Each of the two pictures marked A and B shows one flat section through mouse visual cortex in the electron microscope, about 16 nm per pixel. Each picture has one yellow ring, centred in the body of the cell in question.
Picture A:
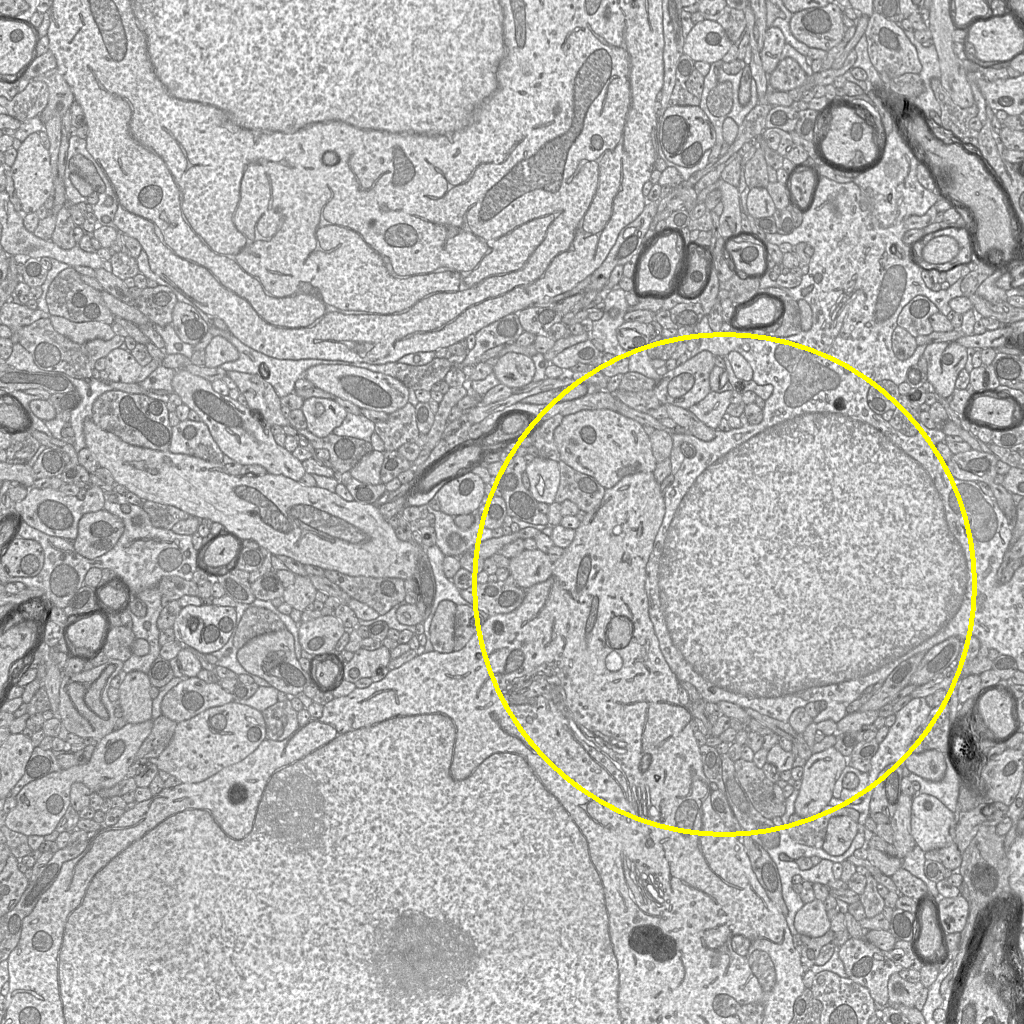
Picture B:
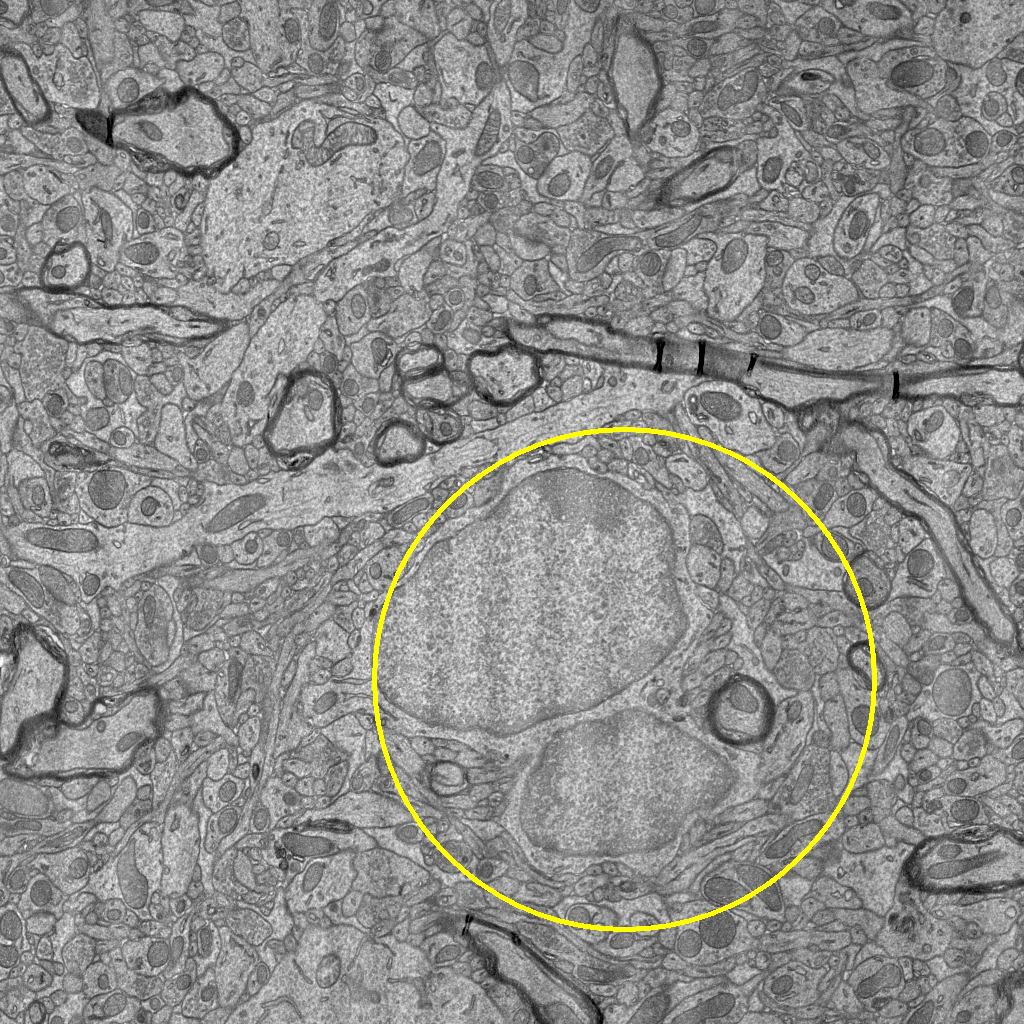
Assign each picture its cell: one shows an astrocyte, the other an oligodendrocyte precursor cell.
Picture A is of an astrocyte, and picture B is of an oligodendrocyte precursor cell.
